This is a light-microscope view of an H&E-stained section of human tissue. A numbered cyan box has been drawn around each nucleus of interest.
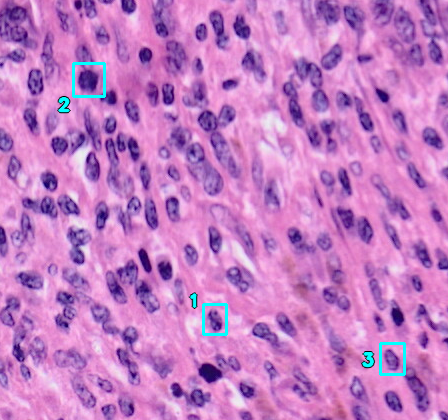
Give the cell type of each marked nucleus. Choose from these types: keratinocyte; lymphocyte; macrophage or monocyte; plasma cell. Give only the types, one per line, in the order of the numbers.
lymphocyte
plasma cell
lymphocyte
